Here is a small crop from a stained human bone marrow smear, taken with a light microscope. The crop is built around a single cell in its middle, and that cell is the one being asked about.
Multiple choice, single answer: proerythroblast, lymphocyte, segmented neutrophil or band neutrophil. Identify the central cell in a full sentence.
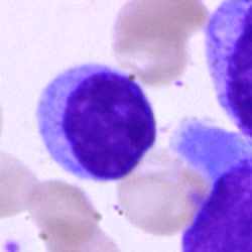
Occupying the centre of the crop is a lymphocyte.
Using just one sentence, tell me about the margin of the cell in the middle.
In short, the margin is smooth with no projections at all.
